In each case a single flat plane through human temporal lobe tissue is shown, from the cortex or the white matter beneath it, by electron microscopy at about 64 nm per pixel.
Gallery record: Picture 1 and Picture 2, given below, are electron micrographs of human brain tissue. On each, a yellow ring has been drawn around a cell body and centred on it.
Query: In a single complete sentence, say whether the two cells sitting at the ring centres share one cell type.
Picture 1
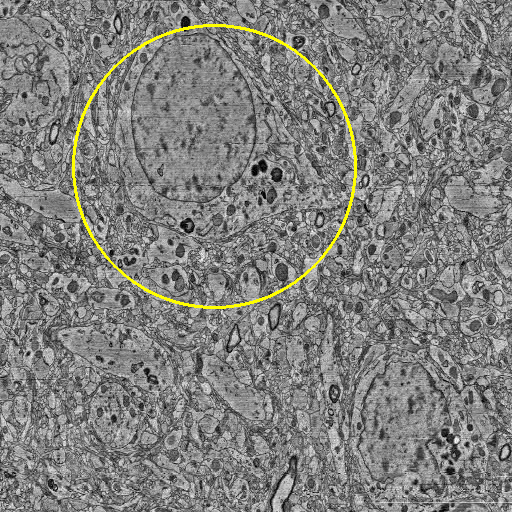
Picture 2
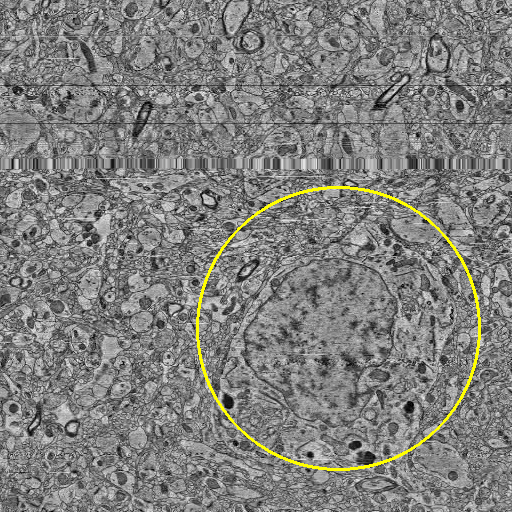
No, in the two pictures the cells at the rings' centres are of two separate types.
